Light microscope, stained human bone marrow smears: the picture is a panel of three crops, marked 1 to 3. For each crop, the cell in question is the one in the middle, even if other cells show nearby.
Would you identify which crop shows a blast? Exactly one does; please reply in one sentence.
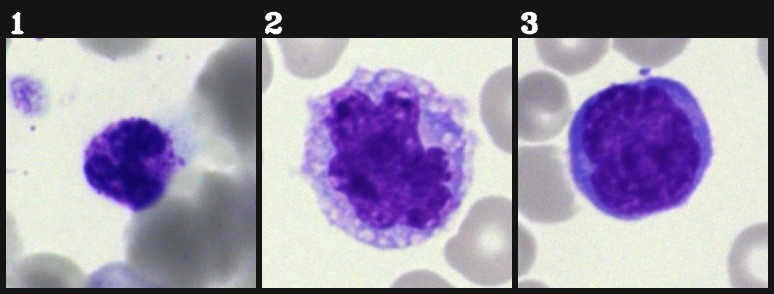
The one showing a blast is crop 3.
